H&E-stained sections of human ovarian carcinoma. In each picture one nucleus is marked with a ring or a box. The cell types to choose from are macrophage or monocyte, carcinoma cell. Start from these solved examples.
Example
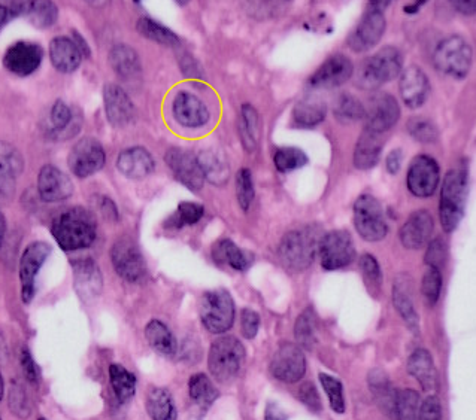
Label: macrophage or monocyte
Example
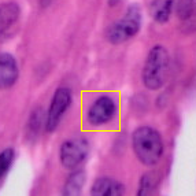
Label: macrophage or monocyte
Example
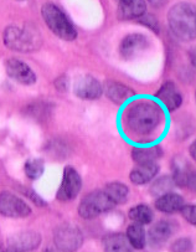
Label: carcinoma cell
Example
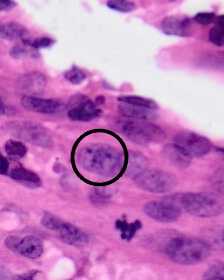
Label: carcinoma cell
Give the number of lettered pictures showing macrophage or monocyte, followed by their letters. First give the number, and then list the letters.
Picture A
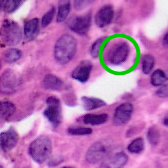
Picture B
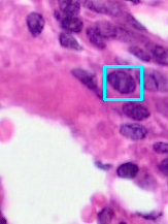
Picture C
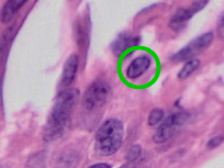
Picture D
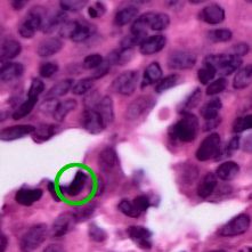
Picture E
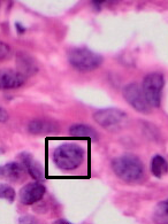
2, namely C, E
